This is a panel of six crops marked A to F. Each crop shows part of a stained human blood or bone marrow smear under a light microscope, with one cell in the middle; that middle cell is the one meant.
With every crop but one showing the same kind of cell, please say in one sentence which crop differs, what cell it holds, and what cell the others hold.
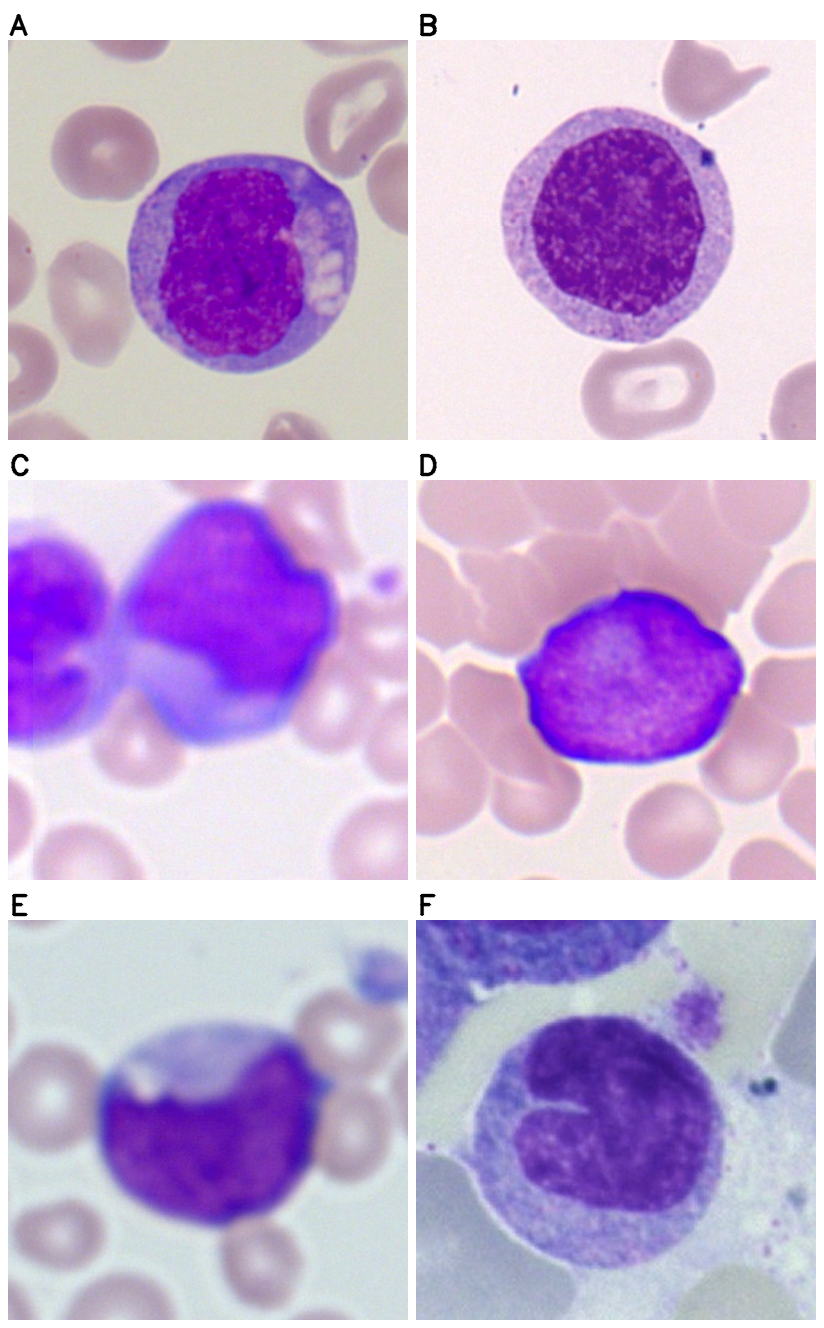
The single exception among the crops is crop F, which is a monocyte; the rest show blasts.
